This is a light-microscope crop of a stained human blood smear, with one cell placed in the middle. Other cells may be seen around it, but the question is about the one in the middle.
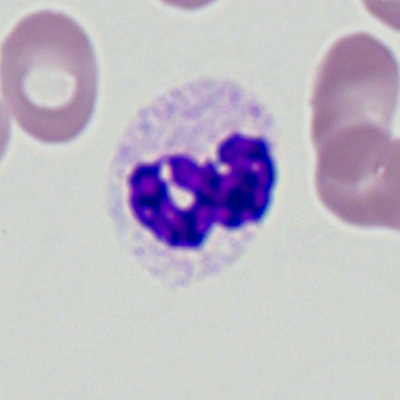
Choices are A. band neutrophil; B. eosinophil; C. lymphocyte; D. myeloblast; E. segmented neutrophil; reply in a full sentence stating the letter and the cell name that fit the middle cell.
The cell shown centrally is a segmented neutrophil; option E is the correct option.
